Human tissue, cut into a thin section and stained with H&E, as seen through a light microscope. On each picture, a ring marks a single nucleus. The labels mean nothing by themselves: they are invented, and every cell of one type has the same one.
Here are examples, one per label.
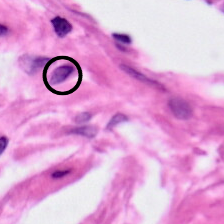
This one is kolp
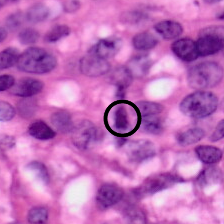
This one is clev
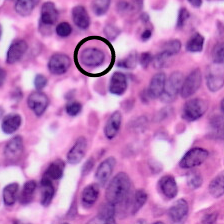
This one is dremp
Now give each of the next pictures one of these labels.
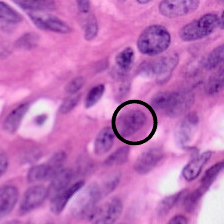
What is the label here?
clev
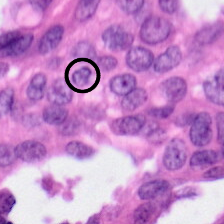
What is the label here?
dremp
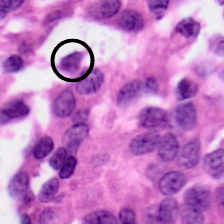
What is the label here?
clev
